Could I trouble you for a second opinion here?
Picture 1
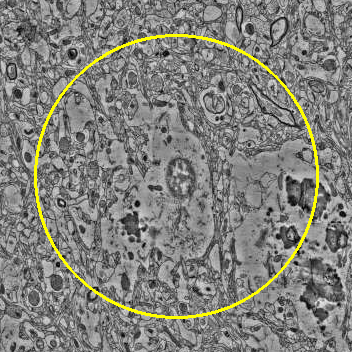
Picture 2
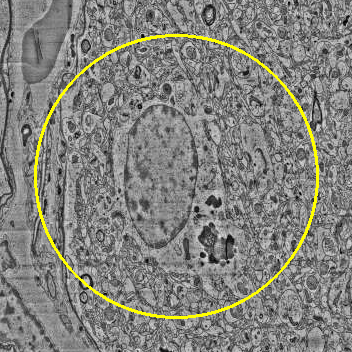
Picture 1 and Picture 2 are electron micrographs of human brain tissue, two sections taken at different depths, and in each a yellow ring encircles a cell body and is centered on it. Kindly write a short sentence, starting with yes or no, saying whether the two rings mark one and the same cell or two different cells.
No, the two marked cells are different cells.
